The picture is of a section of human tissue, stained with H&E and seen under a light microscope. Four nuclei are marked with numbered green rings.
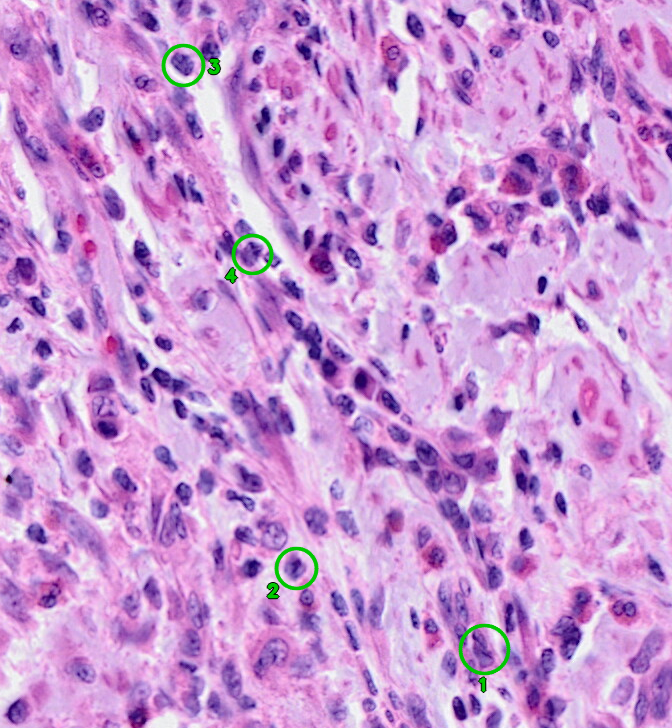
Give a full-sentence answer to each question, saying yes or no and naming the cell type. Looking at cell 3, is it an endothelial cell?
No, cell 3 does not represent an endothelial cell; it represents a lymphocyte.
